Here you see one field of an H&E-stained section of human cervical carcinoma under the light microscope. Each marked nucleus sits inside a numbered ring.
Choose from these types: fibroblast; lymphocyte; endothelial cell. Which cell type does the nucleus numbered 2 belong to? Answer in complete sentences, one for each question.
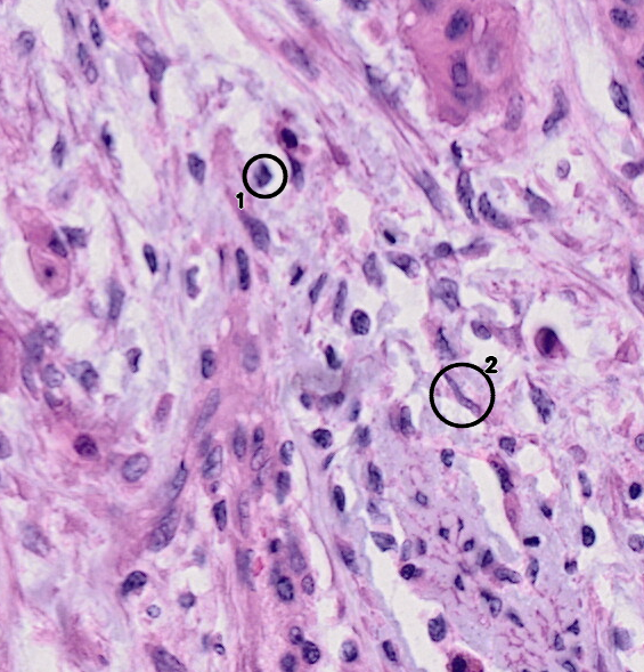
The nucleus labeled 2 belongs to a fibroblast.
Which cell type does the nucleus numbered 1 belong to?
Classified as a lymphocyte is the cell with the number 1.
